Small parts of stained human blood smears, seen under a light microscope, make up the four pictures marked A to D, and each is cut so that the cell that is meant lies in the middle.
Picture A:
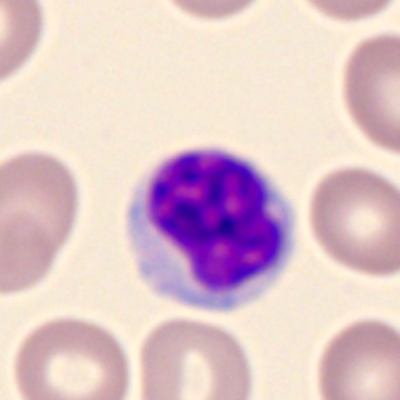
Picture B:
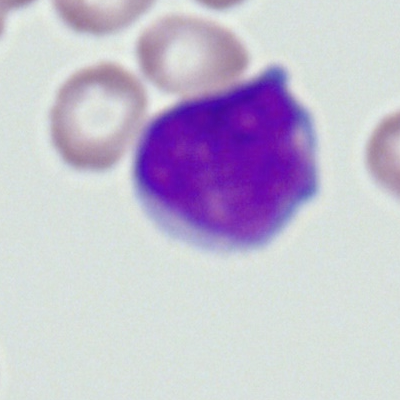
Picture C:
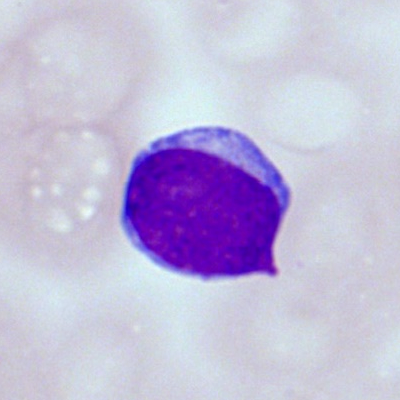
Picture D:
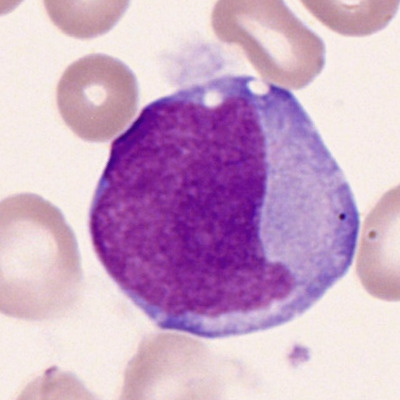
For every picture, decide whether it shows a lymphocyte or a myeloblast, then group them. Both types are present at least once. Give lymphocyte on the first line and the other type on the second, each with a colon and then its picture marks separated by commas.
lymphocyte: A
myeloblast: B, C, D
